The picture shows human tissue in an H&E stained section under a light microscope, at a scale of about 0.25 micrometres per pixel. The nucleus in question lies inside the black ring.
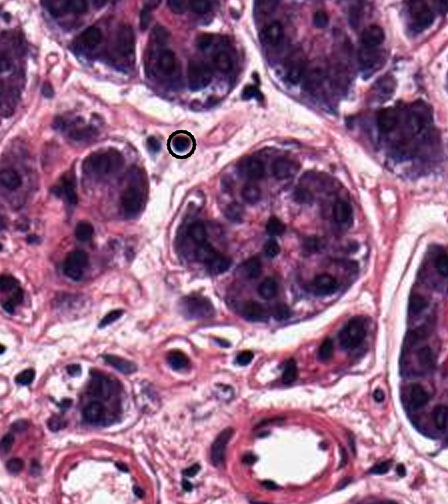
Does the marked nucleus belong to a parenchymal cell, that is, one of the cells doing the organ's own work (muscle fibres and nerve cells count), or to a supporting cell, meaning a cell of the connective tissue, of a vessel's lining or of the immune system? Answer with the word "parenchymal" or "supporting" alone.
supporting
